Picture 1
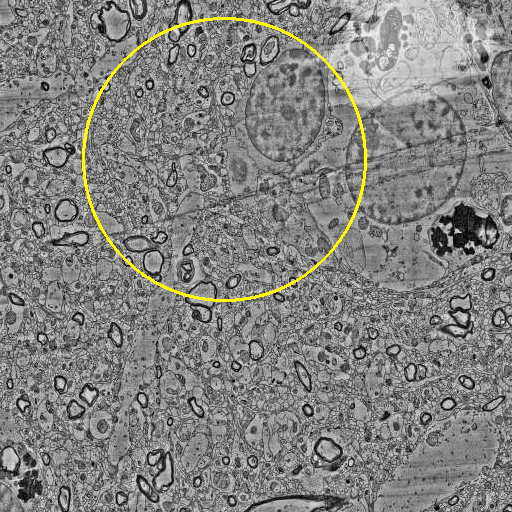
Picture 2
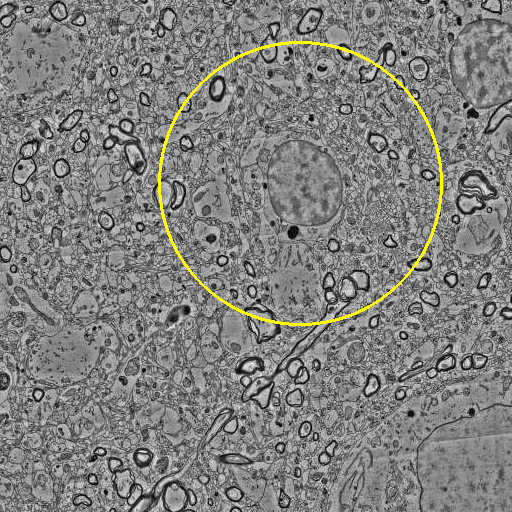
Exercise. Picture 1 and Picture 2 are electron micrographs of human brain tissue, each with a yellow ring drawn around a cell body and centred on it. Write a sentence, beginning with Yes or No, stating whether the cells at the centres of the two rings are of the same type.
Yes, the cells at the centres of both rings are of the same type.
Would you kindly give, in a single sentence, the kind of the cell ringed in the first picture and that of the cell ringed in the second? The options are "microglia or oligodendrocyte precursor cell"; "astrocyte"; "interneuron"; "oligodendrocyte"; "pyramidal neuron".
Both the first and the second picture show an oligodendrocyte in the ring.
